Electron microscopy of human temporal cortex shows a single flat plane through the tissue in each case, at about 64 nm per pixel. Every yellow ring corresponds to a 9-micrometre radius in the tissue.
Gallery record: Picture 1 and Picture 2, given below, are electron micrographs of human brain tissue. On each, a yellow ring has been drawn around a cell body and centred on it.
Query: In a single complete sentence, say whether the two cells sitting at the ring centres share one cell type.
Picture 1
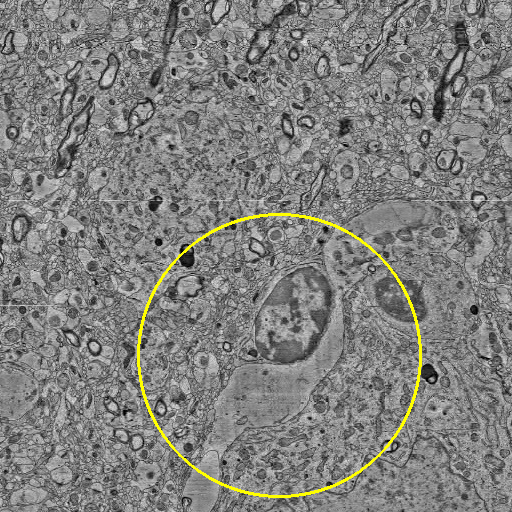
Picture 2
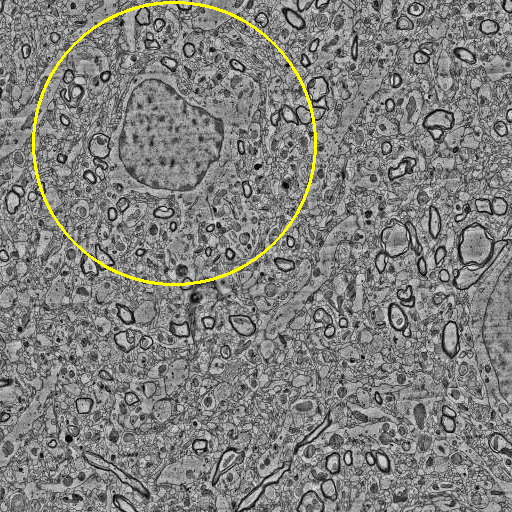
Yes, in both pictures the cell at the ring's centre is of one and the same type.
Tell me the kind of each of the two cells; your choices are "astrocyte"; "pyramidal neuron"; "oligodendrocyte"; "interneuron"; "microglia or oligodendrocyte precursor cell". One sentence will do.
Both the first and the second picture show a microglial cell or oligodendrocyte precursor cell in the ring.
